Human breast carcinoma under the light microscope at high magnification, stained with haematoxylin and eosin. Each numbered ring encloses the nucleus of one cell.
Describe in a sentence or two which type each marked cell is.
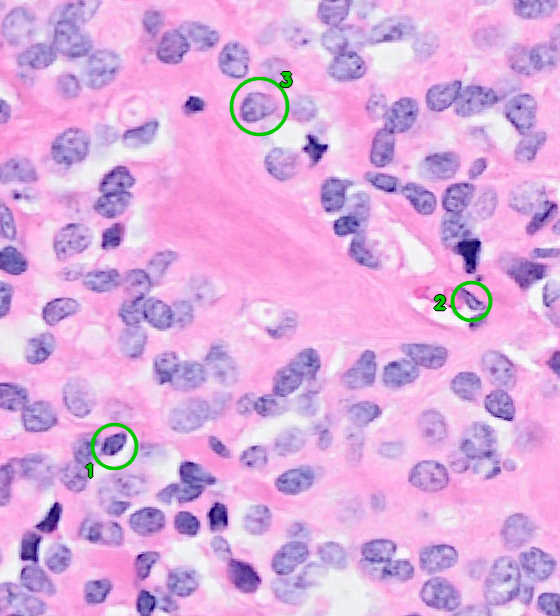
Cell 1 is a lymphocyte, cell 2 is an endothelial cell and cell 3 is a carcinoma cell.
